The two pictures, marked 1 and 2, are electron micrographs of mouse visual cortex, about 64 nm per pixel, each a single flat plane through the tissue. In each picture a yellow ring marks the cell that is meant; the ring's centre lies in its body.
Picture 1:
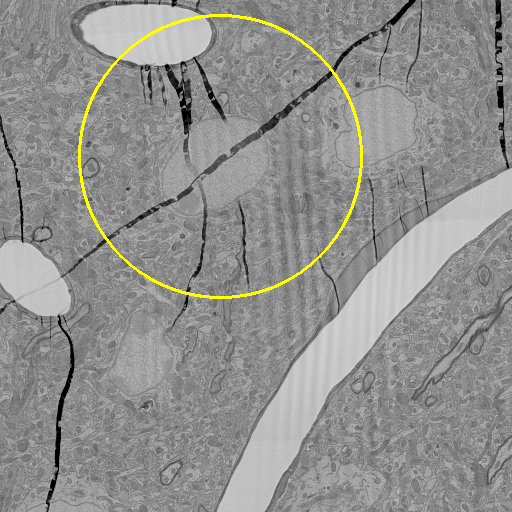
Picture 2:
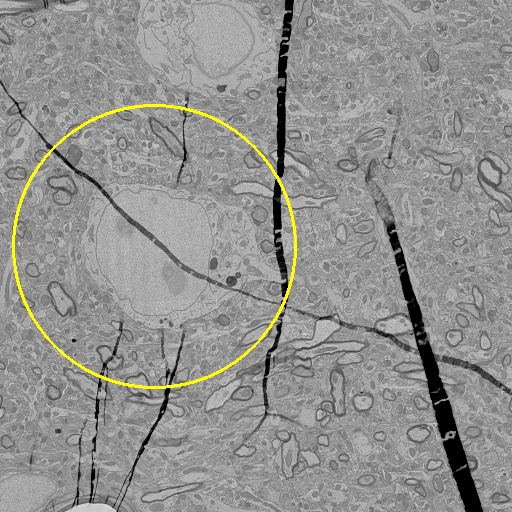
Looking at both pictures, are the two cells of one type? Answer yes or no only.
no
